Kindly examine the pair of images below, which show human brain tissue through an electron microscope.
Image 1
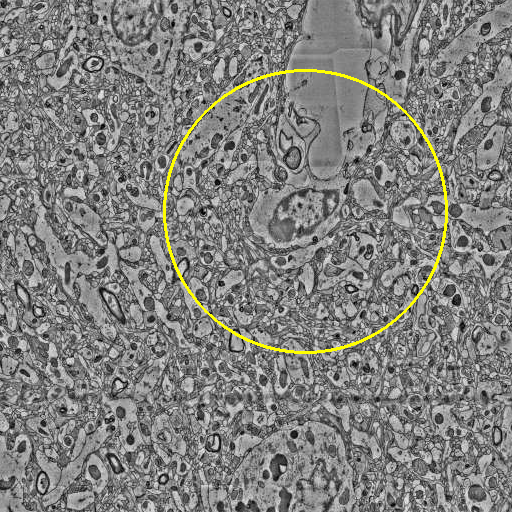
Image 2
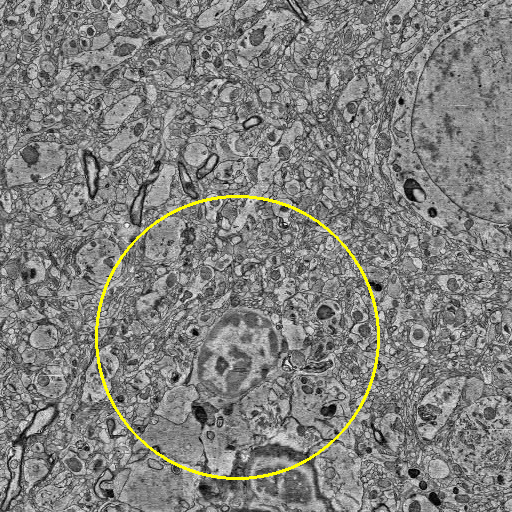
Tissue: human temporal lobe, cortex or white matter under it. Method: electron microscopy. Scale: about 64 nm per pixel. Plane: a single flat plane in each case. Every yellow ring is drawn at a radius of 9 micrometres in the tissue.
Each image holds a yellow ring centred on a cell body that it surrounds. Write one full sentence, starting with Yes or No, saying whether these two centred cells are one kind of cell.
No, the cells at the centres of the yellow rings belong to two kinds of cell.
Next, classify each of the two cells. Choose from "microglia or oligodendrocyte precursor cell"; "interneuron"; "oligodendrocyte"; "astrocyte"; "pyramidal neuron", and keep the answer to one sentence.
In the first picture it is a microglial cell or oligodendrocyte precursor cell; in the second it is an oligodendrocyte.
